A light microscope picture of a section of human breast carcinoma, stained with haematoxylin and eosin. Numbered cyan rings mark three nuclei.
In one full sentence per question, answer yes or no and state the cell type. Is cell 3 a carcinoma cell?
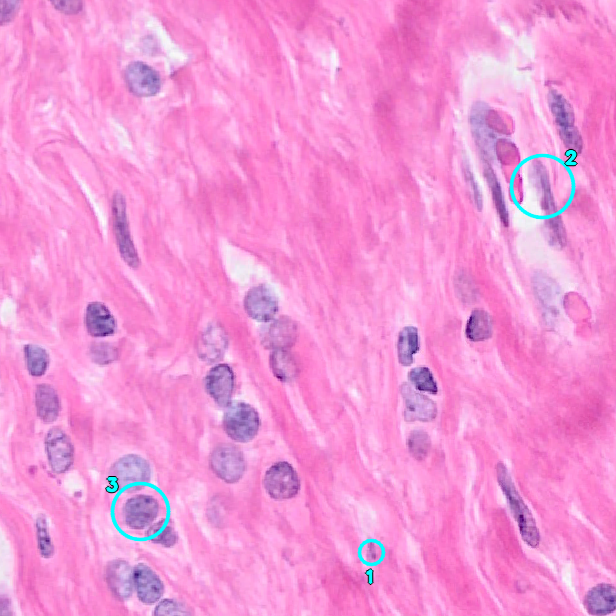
Yes, number 3 in this section denotes a carcinoma cell.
